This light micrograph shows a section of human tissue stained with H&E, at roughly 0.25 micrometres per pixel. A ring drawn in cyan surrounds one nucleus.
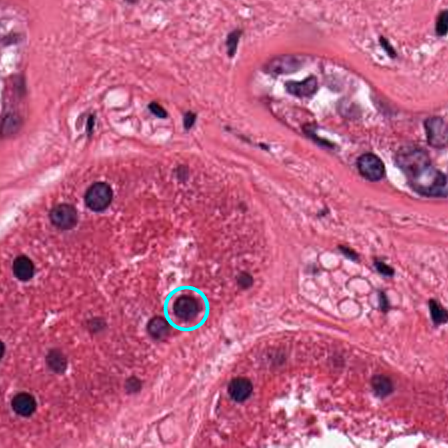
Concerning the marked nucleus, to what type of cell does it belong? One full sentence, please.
In this picture it is a proximal tubule cell whose nucleus is marked.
